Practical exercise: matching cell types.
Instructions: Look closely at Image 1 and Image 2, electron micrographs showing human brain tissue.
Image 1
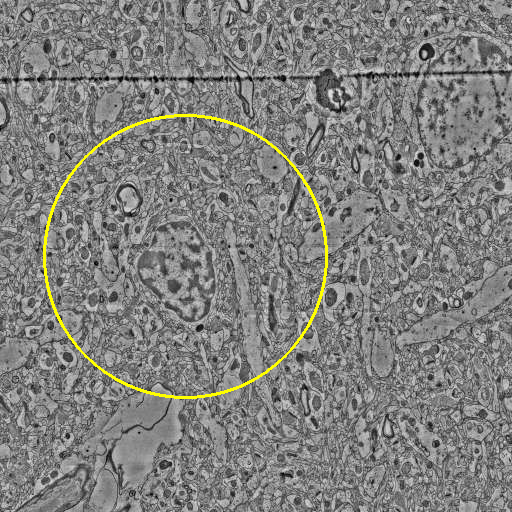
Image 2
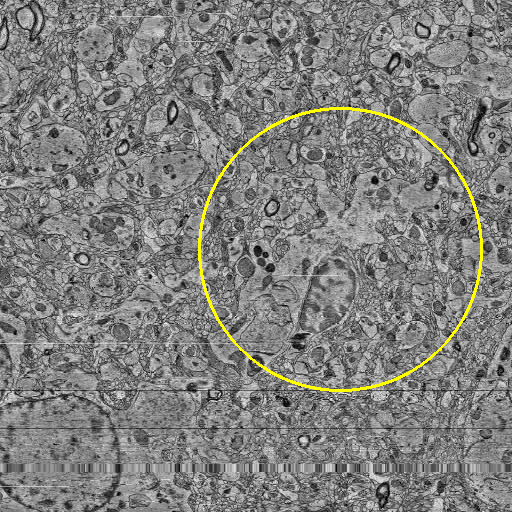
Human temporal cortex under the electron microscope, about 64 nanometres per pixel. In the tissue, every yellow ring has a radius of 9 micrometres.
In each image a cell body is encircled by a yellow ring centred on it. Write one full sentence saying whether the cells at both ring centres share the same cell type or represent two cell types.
Across Image 1 and Image 2, the cells at the ring centres share the same cell type.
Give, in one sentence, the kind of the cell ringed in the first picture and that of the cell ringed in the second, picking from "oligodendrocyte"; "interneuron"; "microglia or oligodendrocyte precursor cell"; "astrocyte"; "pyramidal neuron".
Both rings mark a microglial cell or oligodendrocyte precursor cell, one in each picture.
